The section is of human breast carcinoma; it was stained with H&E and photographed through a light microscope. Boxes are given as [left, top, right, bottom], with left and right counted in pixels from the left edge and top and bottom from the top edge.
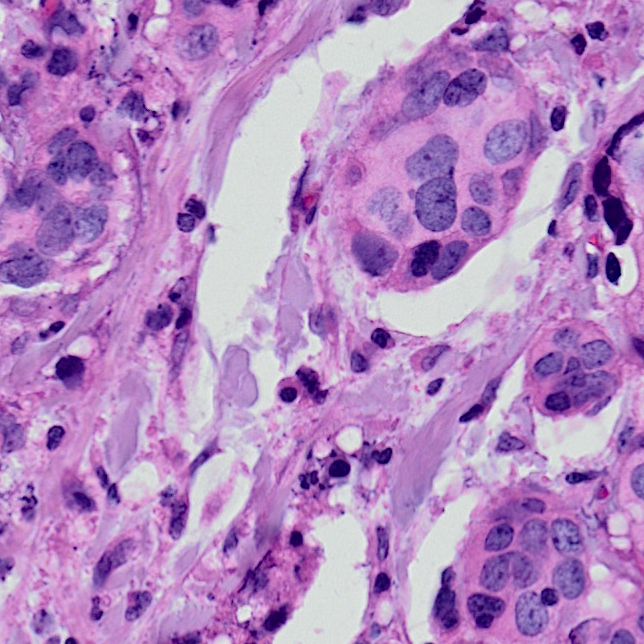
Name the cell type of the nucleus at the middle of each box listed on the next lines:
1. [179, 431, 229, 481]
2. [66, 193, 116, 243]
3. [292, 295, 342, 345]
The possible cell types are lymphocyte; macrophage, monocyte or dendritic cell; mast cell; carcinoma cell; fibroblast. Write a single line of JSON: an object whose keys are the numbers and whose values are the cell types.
{"1": "fibroblast", "2": "carcinoma cell", "3": "fibroblast"}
